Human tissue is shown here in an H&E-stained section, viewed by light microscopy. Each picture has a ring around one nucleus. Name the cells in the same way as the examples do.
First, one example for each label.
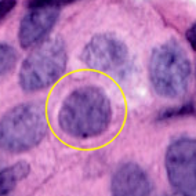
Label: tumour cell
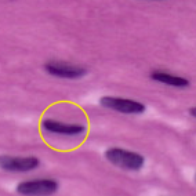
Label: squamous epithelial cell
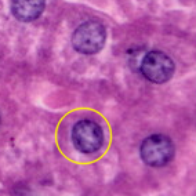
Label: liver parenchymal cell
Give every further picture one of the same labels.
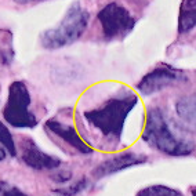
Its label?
tumour cell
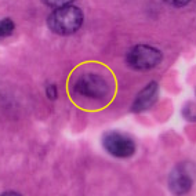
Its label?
liver parenchymal cell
